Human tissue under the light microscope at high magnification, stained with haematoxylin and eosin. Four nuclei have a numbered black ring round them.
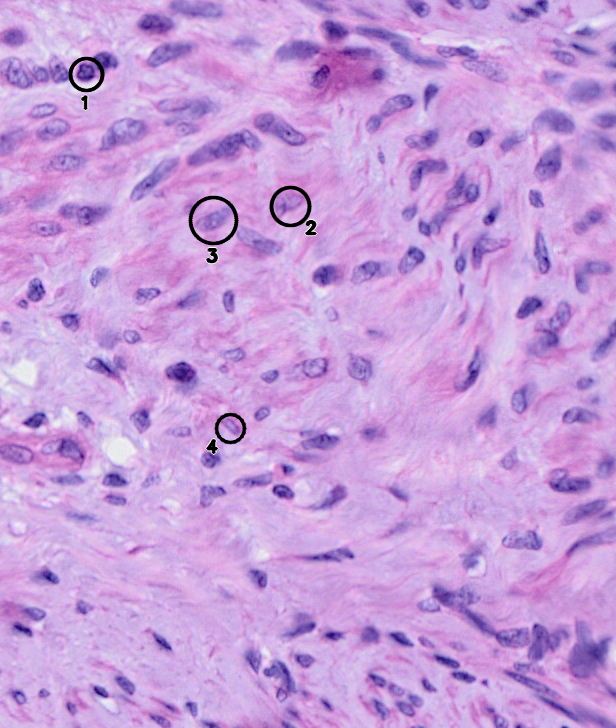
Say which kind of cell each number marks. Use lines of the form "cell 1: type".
cell 1: lymphocyte
cell 2: smooth muscle cell
cell 3: smooth muscle cell
cell 4: smooth muscle cell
